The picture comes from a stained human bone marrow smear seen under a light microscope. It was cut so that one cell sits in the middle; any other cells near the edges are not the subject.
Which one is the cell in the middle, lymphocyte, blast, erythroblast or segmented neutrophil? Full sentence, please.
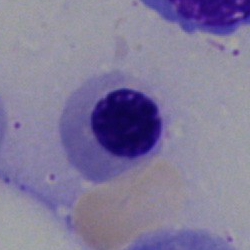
The cell the crop is centered on is an erythroblast.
